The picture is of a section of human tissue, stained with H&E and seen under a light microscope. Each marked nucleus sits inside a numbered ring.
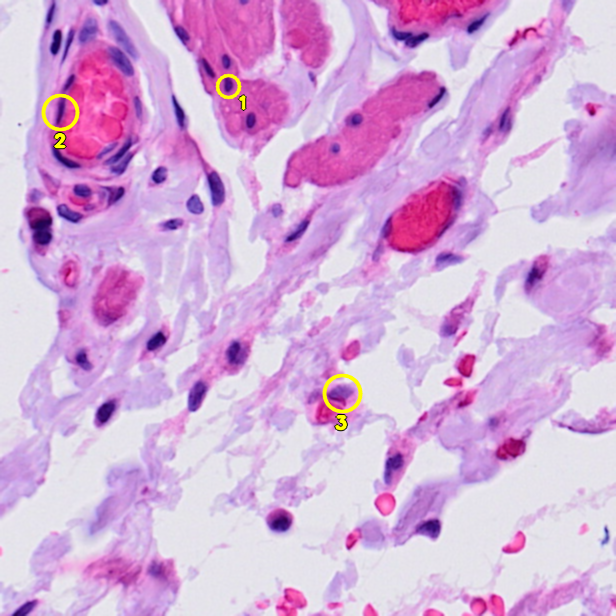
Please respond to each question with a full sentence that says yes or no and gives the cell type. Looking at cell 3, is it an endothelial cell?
Yes, among the marked cells, the one with number 3 is an endothelial cell.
